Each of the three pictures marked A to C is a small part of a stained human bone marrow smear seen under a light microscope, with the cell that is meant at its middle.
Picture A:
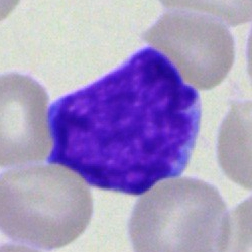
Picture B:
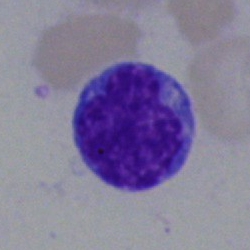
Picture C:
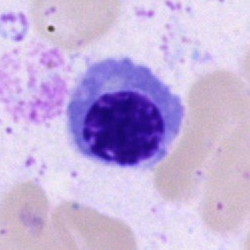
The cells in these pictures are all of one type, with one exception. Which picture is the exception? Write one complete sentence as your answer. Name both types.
The different one is picture C; it shows an erythroblast, whereas all the others show blasts.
